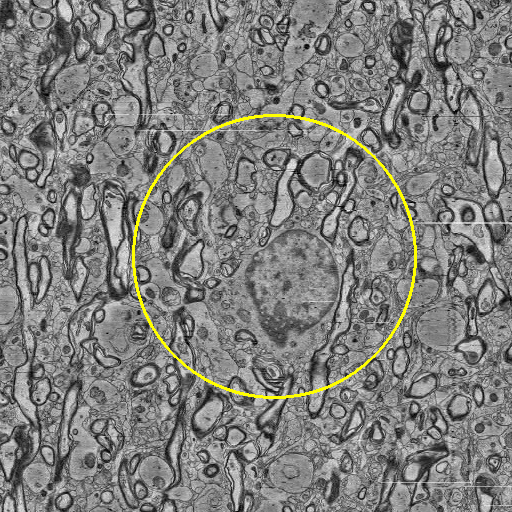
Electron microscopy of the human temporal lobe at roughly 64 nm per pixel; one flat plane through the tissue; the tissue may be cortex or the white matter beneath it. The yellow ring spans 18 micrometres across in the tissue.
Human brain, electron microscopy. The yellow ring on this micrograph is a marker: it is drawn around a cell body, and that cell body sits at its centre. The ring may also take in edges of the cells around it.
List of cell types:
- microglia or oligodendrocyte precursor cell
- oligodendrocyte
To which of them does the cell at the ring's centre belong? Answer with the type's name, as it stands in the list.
oligodendrocyte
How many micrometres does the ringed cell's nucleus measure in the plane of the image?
The nucleus is approximately 7 micrometers long by 6 micrometers wide in this plane.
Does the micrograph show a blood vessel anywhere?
No, there is no blood vessel.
